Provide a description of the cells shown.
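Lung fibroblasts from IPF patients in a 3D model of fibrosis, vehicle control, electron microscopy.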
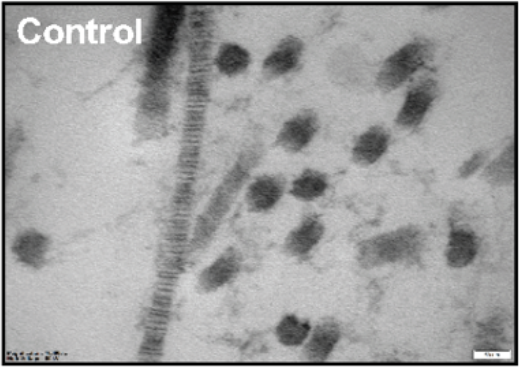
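Transmission electron micrograph of collagen fibrils in the extracellular matrix, seen both lengthwise and in cross section. A long fibril running obliquely at the left shows a regular pattern of light and dark cross-bands, while many fibrils cut across appear as dark, round to oval profiles scattered through a pale background with fine filamentous material.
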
